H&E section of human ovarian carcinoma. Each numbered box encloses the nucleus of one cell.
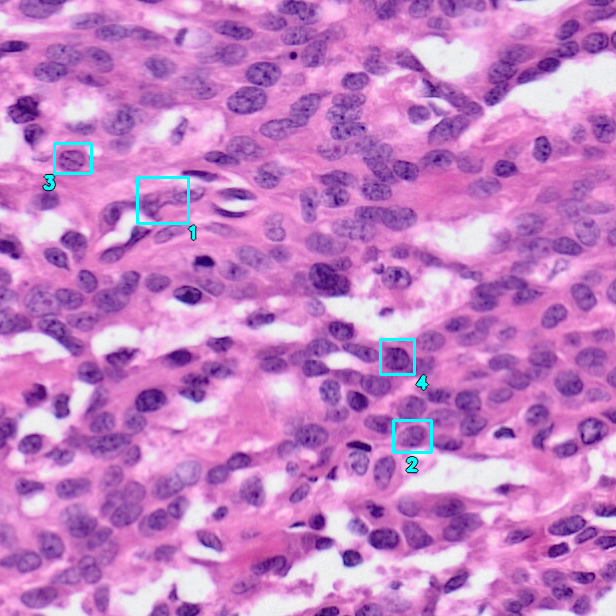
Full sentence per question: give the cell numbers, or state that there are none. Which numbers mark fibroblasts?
Each numbered cell falls outside the category of fibroblasts.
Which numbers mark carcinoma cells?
The cells referred to by the numbers 2 and 4 are carcinoma cells.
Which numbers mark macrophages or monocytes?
Cell 3 is the one numbered cell that is a macrophage or monocyte.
